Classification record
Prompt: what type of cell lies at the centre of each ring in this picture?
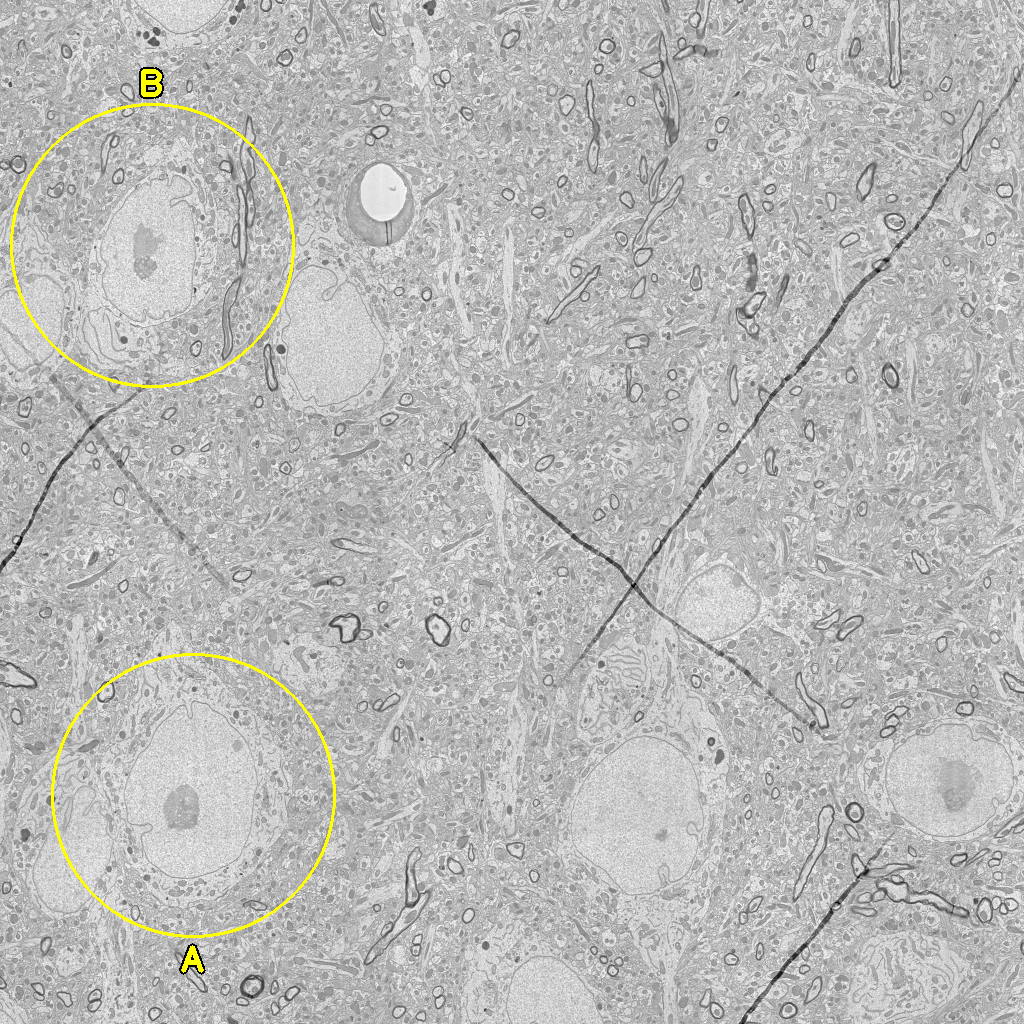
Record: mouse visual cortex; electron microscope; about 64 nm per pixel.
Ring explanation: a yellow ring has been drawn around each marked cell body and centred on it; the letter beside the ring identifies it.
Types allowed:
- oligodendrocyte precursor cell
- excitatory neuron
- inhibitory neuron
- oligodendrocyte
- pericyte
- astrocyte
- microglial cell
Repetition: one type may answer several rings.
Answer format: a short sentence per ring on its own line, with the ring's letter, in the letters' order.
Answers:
Ring A shows an excitatory neuron at its centre.
Ring B shows an inhibitory neuron at its centre.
